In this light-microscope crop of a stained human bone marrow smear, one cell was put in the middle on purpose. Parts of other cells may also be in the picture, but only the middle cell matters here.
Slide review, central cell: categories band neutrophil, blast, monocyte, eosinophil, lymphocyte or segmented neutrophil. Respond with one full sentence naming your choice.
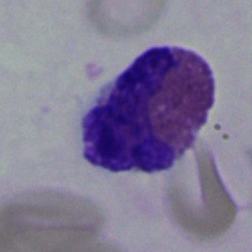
The middle of this crop is occupied by an eosinophil.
